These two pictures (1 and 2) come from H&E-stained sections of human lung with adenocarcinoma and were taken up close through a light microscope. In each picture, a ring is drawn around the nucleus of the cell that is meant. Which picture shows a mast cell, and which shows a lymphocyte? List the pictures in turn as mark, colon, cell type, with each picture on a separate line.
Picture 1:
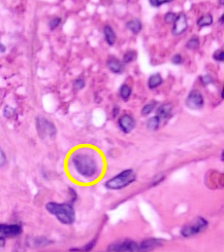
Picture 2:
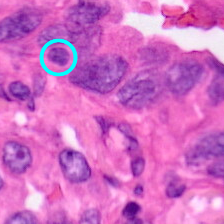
1: mast cell
2: lymphocyte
